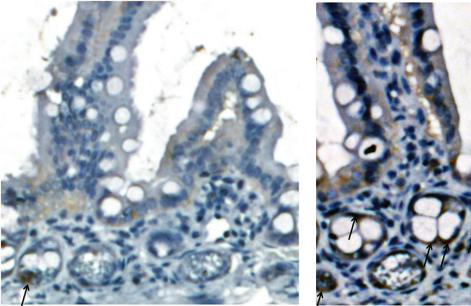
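This is intestinal mucosa with the bases of villi above and a few crypts below, set in a cellular connective tissue. The villous epithelium is columnar with blue nuclei and clear, rounded vacuoles, and the crypts appear as rounded epithelial rings.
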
